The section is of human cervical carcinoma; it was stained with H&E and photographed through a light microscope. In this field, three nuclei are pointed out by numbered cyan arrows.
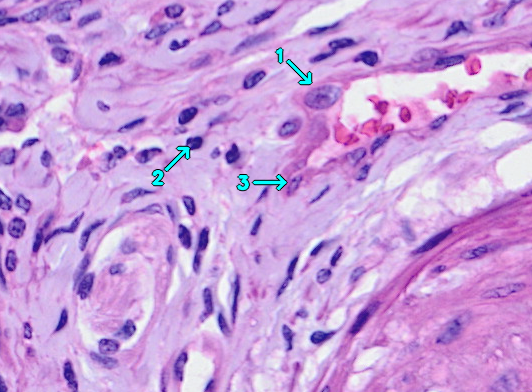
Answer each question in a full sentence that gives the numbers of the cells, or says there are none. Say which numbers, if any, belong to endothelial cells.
As for the cells numbered 1 and 3, they are endothelial cells.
